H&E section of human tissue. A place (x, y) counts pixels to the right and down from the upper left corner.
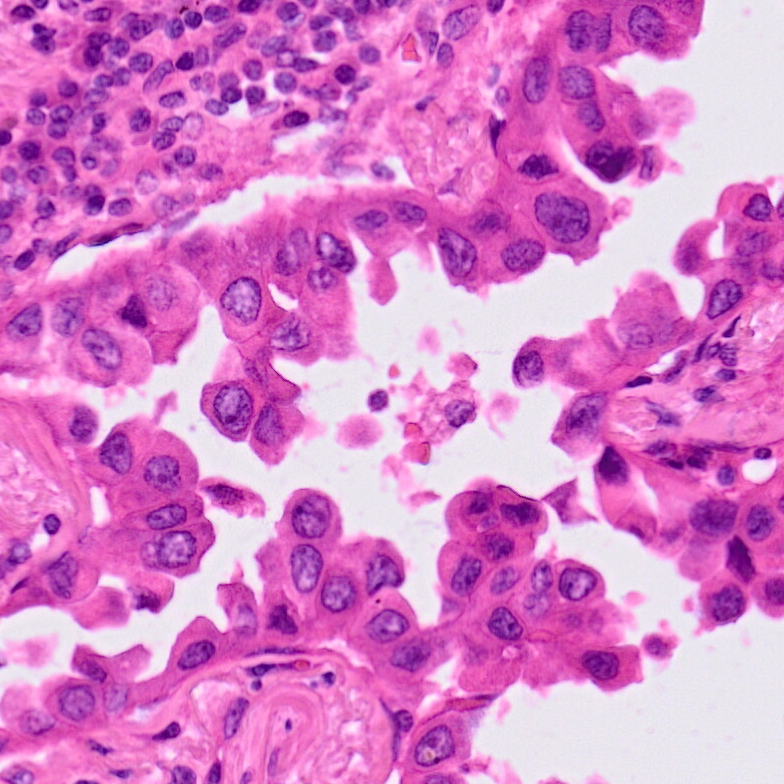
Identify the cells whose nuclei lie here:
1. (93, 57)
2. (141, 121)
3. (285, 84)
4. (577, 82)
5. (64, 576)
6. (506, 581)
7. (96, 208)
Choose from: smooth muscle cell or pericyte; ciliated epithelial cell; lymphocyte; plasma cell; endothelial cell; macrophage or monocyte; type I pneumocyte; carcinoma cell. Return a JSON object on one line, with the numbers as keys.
{"1": "plasma cell", "2": "plasma cell", "3": "lymphocyte", "4": "carcinoma cell", "5": "carcinoma cell", "6": "carcinoma cell", "7": "lymphocyte"}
